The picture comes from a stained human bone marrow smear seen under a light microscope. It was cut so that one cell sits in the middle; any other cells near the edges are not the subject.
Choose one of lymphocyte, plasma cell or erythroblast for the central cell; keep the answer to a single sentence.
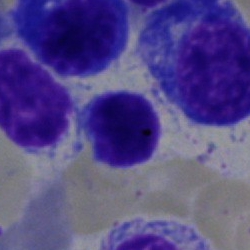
The cell in the exact centre of the crop is a lymphocyte.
